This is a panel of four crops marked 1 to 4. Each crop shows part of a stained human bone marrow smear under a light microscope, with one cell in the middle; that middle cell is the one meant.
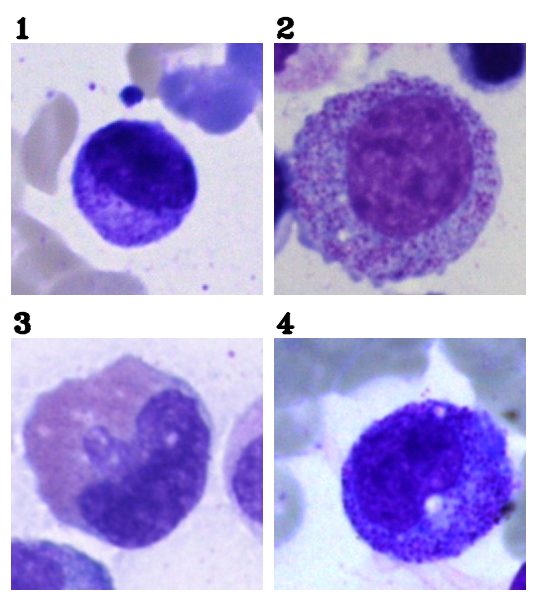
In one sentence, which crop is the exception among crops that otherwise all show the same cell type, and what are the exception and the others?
Crop 3 is the one that is an eosinophil, and the other crops all show promyelocytes.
